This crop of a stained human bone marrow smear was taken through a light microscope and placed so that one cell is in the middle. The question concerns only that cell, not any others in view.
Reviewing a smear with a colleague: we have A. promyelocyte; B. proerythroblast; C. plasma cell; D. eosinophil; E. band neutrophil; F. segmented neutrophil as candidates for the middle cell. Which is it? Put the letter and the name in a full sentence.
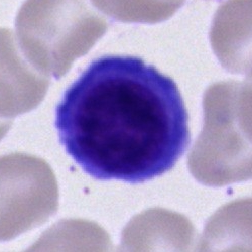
Option C correctly states that the central cell is a plasma cell.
